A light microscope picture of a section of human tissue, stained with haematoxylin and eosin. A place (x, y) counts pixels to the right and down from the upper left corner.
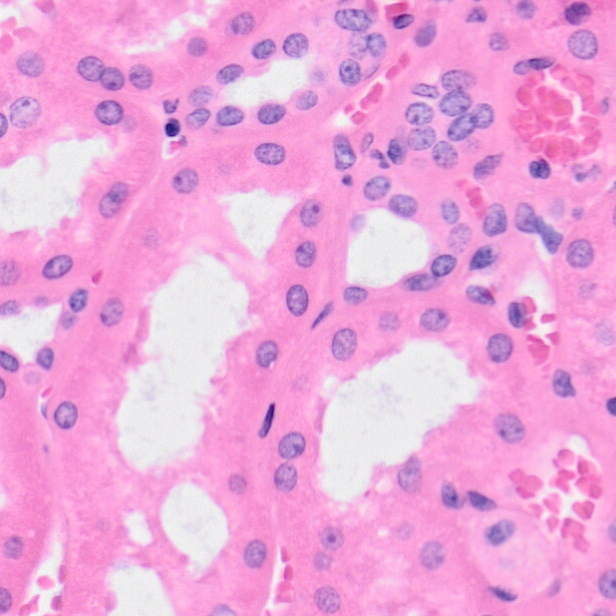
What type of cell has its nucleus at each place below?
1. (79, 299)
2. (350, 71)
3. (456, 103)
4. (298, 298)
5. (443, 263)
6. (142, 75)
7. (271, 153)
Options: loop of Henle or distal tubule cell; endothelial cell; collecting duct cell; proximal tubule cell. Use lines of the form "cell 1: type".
cell 1: collecting duct cell
cell 2: collecting duct cell
cell 3: collecting duct cell
cell 4: proximal tubule cell
cell 5: collecting duct cell
cell 6: proximal tubule cell
cell 7: proximal tubule cell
